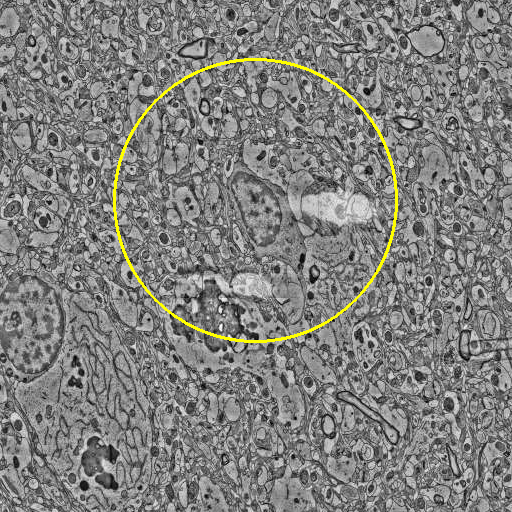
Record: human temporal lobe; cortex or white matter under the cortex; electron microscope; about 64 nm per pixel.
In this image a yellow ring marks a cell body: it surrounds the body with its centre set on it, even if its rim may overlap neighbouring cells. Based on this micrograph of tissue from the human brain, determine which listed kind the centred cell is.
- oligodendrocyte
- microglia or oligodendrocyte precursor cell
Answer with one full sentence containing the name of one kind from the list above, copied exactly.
It is an oligodendrocyte whose body the yellow ring encloses at its centre.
